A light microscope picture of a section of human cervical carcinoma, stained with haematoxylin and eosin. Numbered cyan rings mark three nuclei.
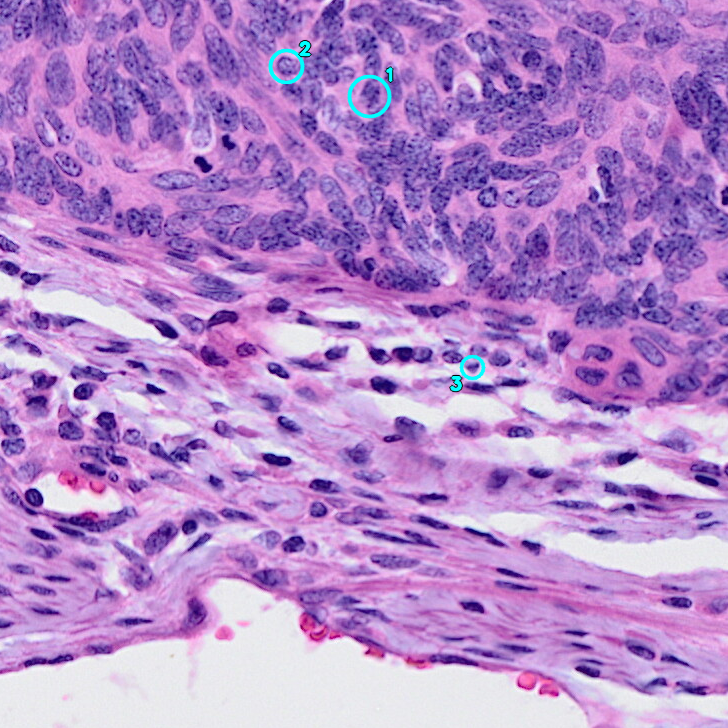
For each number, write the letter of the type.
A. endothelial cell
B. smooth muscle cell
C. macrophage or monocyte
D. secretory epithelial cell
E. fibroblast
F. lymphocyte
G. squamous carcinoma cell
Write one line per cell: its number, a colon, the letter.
1: G
2: G
3: F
